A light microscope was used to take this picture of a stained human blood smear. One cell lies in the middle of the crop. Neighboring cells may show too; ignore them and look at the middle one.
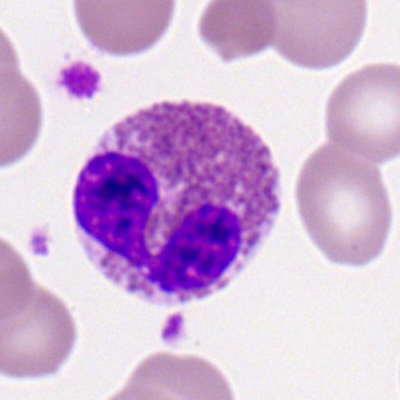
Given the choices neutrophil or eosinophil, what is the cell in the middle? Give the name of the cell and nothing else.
eosinophil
